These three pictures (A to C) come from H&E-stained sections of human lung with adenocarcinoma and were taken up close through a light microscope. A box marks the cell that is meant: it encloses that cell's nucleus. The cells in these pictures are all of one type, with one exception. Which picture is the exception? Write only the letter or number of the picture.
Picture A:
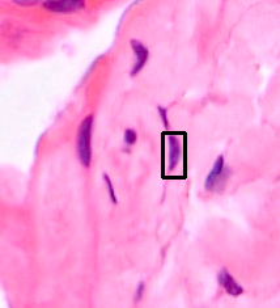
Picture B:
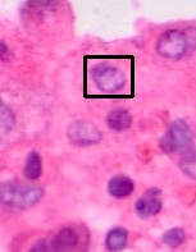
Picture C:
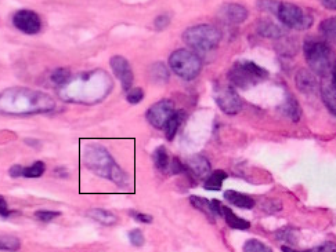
B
